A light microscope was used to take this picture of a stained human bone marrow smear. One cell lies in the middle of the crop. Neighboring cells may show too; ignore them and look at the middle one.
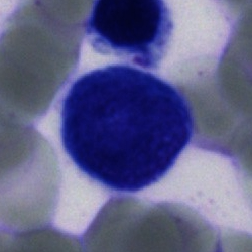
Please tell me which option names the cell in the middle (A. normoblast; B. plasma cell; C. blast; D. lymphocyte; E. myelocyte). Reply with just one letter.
C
